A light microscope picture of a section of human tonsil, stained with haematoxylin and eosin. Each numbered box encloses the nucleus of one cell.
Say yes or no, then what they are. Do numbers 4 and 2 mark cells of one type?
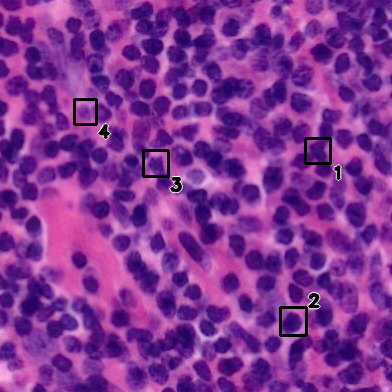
No, cell 4 here is an endothelial cell and cell 2 here is a small lymphocyte.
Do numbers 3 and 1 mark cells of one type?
Yes, small lymphocytes are what cells 3 and 1 both are.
